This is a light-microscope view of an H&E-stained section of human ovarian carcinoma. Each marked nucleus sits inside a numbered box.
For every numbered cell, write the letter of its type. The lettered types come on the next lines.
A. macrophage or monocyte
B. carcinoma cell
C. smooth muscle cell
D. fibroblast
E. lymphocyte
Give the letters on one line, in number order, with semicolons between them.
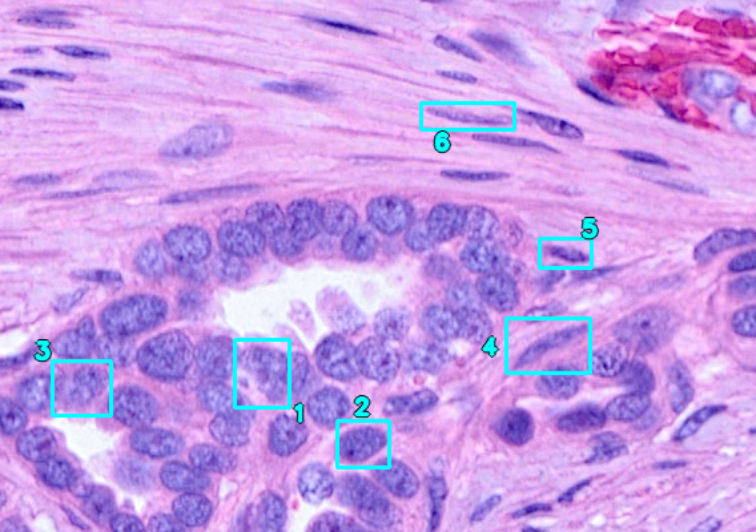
B; B; B; D; D; D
